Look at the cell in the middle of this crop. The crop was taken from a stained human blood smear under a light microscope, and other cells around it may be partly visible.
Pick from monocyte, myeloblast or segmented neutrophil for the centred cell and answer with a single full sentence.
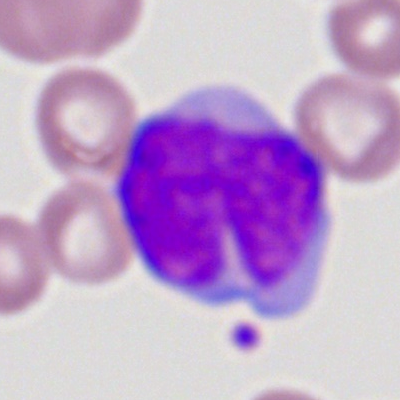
The centrally located cell in the crop is a monocyte.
